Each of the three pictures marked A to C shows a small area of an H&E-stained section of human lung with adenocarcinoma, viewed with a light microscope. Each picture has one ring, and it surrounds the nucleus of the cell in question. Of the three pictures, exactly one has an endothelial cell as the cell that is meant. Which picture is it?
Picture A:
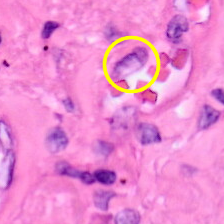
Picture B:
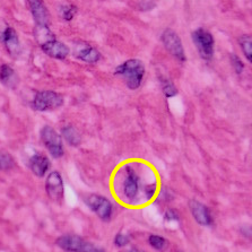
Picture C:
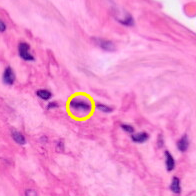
A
